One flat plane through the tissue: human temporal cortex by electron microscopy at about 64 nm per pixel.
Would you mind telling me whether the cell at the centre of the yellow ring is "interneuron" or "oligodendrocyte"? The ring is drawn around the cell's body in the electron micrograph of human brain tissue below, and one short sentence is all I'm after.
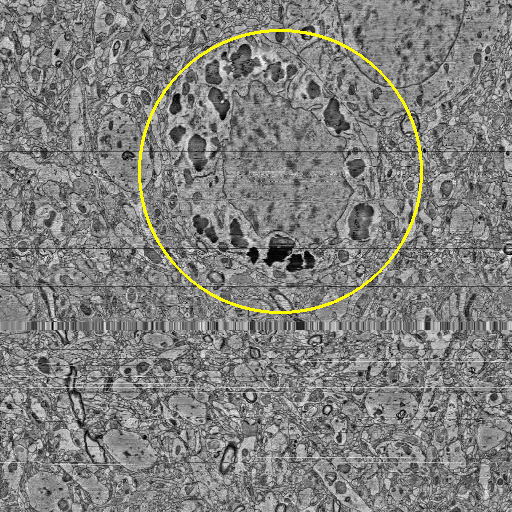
In the centre of the ring lies an interneuron.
